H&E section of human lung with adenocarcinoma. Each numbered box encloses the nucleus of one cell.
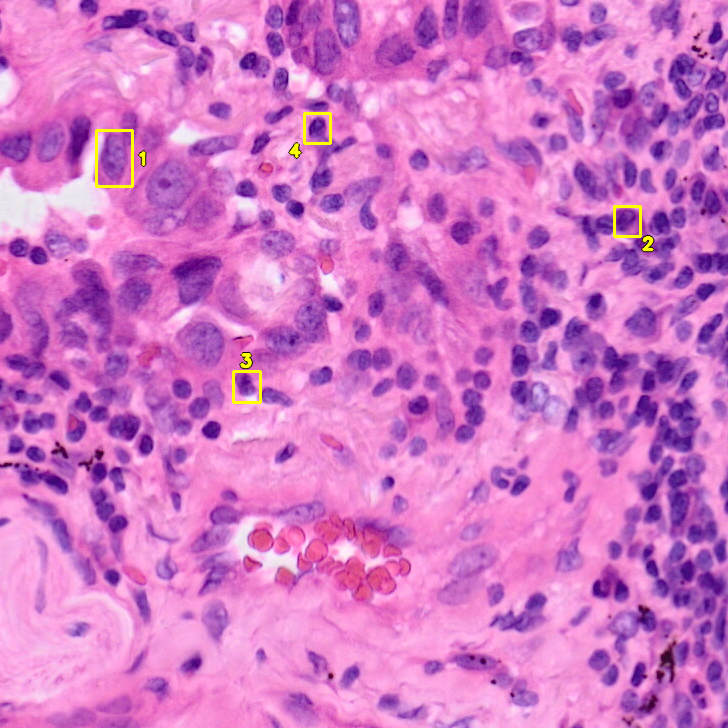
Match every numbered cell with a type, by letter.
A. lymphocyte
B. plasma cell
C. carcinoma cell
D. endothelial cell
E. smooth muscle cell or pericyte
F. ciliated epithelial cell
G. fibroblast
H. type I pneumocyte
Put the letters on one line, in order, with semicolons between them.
C; B; A; A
